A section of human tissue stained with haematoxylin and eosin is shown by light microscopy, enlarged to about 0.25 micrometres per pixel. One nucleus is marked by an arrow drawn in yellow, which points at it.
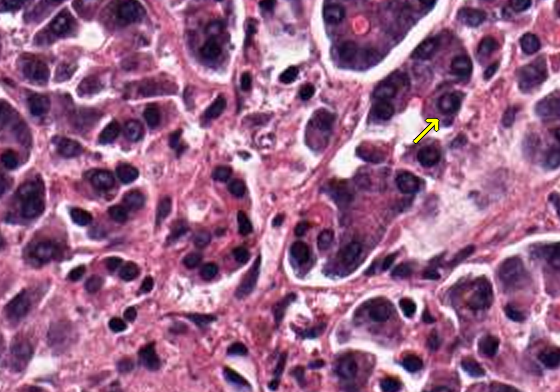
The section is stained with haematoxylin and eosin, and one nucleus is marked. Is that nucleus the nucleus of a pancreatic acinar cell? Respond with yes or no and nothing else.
yes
